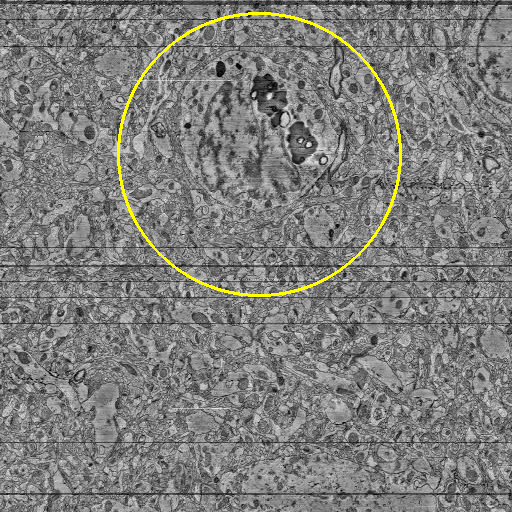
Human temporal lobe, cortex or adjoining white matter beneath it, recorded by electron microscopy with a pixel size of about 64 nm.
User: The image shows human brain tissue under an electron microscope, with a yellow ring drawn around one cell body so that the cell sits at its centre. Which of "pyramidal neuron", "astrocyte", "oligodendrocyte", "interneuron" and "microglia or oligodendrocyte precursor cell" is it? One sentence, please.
At the centre of the ring sits an interneuron.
